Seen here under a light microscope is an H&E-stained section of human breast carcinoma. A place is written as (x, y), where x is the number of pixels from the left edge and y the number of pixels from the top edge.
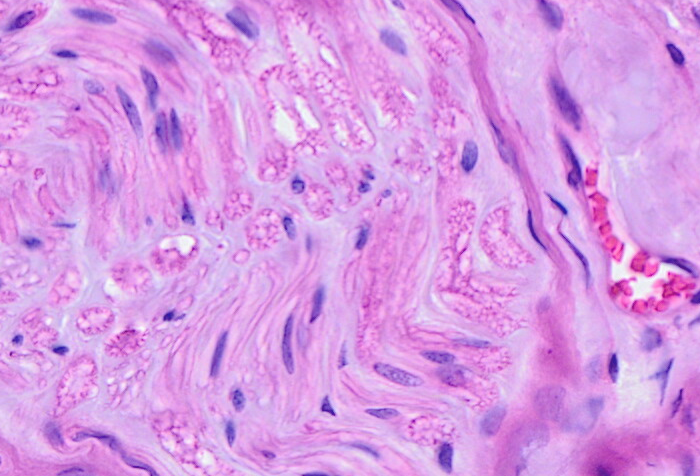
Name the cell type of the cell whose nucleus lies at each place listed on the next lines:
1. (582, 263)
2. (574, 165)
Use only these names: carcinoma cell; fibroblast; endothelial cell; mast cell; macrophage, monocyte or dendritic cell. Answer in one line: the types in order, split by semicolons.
fibroblast; endothelial cell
